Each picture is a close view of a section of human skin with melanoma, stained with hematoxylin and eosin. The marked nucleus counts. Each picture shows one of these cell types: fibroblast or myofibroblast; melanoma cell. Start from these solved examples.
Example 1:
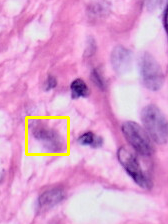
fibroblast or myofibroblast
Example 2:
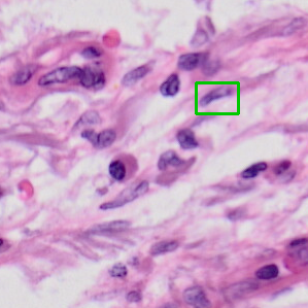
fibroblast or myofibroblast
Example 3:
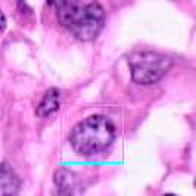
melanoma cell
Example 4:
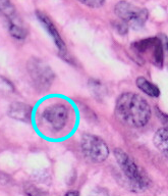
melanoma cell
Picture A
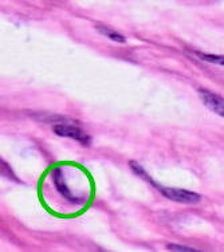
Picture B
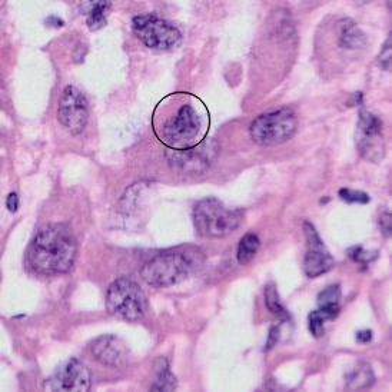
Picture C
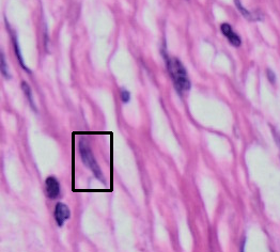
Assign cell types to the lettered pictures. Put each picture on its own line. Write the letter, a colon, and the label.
A: fibroblast or myofibroblast
B: melanoma cell
C: fibroblast or myofibroblast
